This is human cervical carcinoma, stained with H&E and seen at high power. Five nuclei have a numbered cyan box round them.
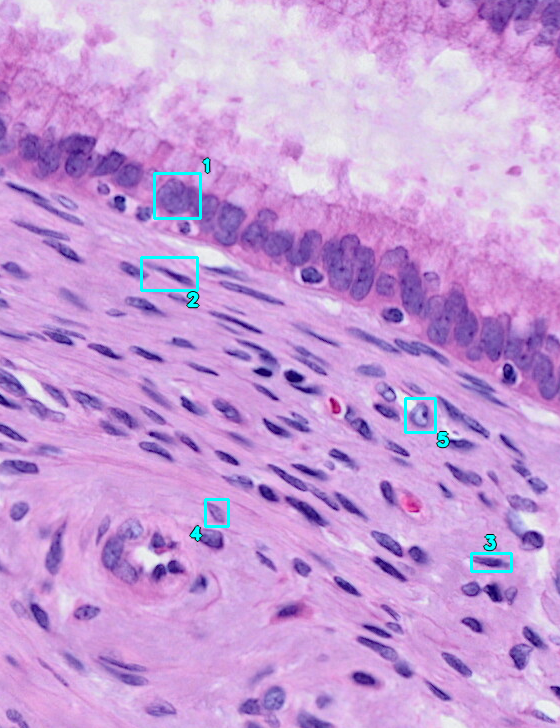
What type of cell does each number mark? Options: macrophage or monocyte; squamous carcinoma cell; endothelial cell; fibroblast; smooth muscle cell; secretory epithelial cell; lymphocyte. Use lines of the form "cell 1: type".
cell 1: secretory epithelial cell
cell 2: fibroblast
cell 3: fibroblast
cell 4: fibroblast
cell 5: endothelial cell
